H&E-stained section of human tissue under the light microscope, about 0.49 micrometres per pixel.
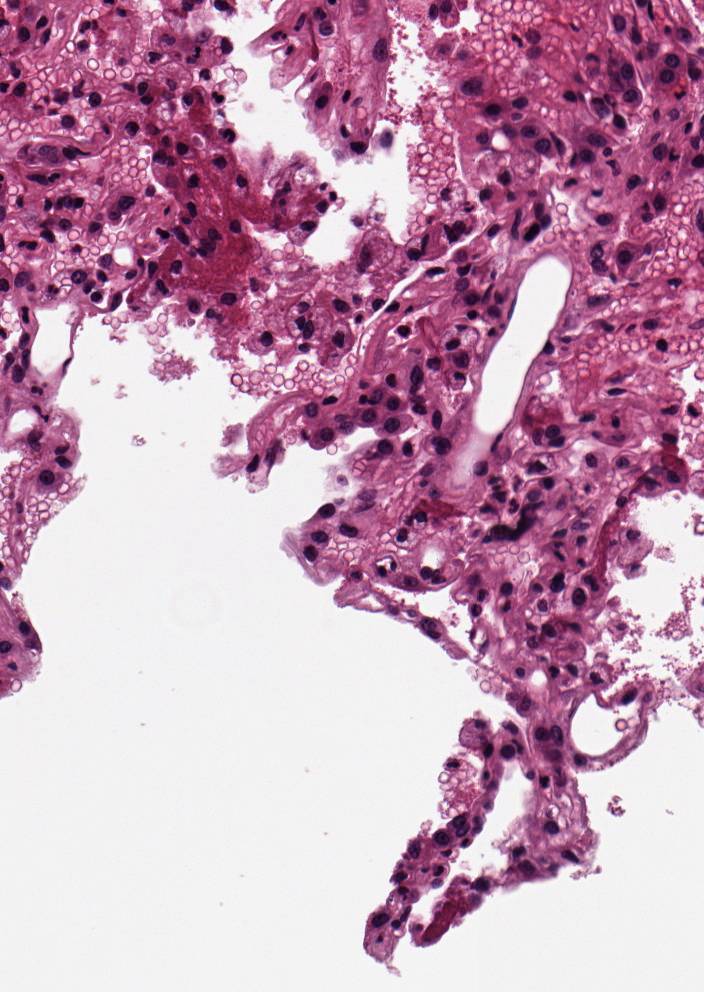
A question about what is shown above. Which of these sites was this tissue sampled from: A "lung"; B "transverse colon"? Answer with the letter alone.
A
